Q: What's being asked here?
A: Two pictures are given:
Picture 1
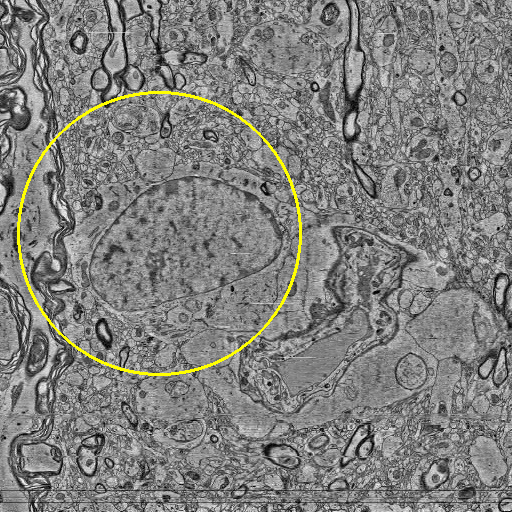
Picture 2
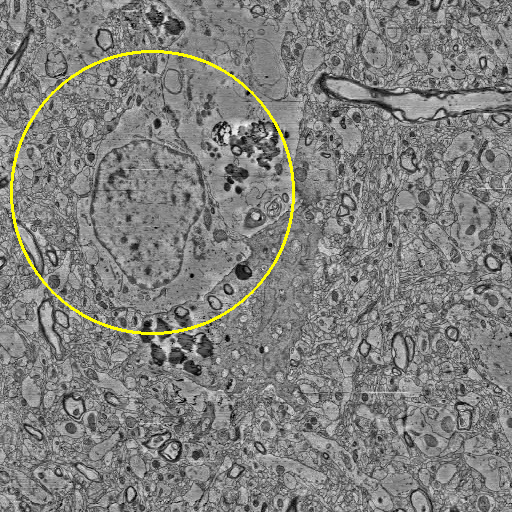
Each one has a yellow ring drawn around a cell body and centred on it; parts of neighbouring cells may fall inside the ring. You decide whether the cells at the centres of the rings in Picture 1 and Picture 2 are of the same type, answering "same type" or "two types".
same type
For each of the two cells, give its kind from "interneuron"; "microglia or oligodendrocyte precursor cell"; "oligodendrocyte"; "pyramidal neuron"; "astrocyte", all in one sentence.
The cell in the first picture is a microglial cell or oligodendrocyte precursor cell, and so is the one in the second.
